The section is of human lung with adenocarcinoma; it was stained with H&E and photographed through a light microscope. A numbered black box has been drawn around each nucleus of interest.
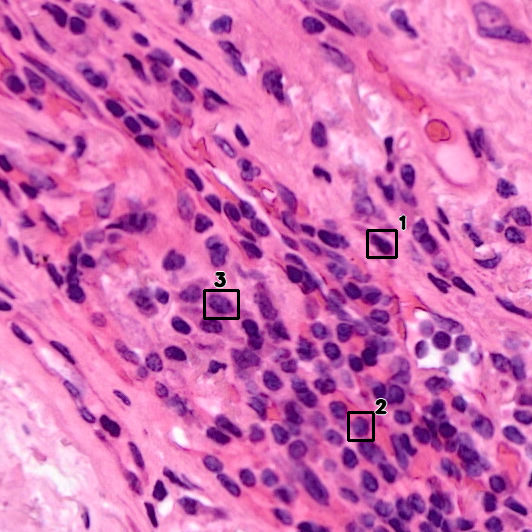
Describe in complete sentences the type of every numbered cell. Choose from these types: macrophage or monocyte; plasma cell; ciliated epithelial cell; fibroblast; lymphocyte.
Cell 1 is a plasma cell, cell 2 is a lymphocyte and cell 3 is a plasma cell.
